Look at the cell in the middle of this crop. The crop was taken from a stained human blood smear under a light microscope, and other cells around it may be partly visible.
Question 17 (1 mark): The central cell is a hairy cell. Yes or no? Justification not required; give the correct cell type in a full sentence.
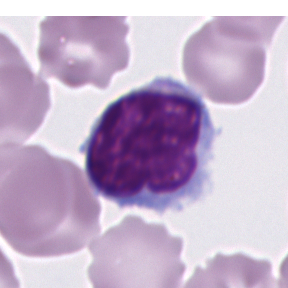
Yes, the cell located at the center is a hairy cell.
